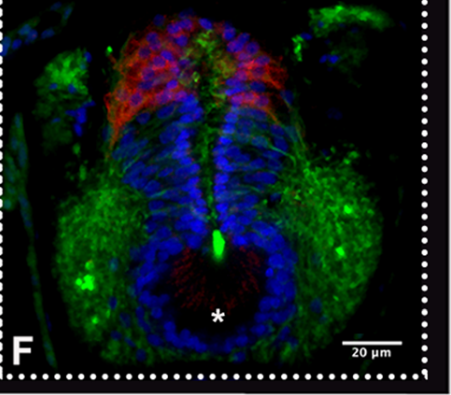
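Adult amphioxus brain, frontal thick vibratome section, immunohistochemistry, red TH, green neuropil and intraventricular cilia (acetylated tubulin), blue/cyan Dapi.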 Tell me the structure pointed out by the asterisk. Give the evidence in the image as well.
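Infundibular organ. The asterisk lies in the ventral part of the neural tube, below the lower end of the central canal. The region at the asterisk is a darker zone with fewer nuclei than the surrounding wall.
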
